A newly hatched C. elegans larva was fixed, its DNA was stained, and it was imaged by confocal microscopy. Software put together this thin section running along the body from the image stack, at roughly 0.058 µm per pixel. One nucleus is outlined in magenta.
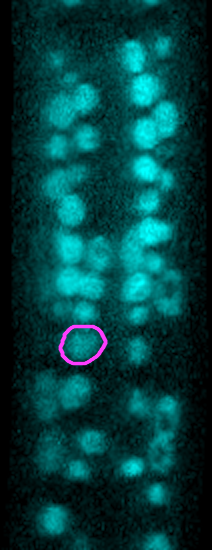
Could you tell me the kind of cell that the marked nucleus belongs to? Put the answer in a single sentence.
What is marked is the nucleus of a pharyngeal muscle cell.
